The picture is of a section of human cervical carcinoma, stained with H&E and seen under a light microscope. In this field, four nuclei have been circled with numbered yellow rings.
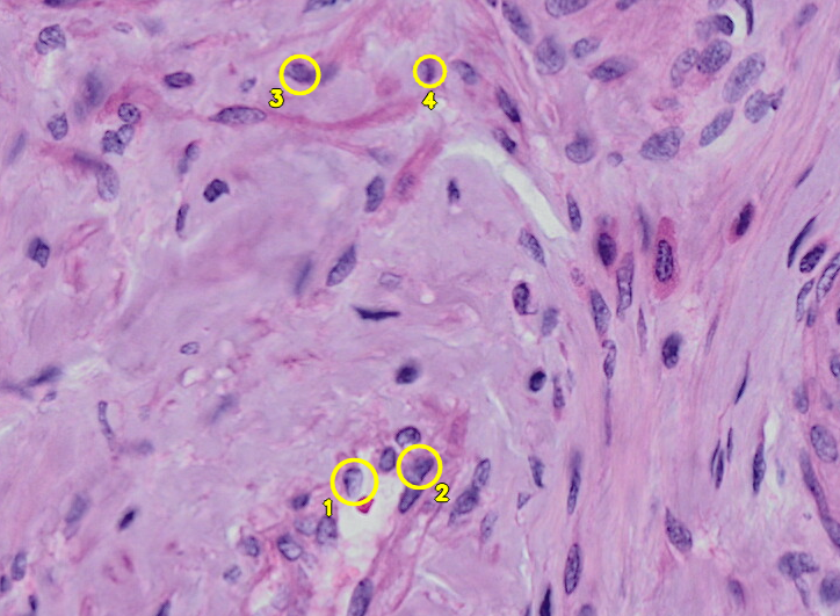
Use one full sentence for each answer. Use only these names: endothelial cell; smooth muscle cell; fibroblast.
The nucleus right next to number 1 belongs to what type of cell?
The cell nearest to number 1 is an endothelial cell.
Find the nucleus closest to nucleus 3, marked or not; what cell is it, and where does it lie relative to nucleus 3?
It is a smooth muscle cell, whose nucleus lies to the right of nucleus 3.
